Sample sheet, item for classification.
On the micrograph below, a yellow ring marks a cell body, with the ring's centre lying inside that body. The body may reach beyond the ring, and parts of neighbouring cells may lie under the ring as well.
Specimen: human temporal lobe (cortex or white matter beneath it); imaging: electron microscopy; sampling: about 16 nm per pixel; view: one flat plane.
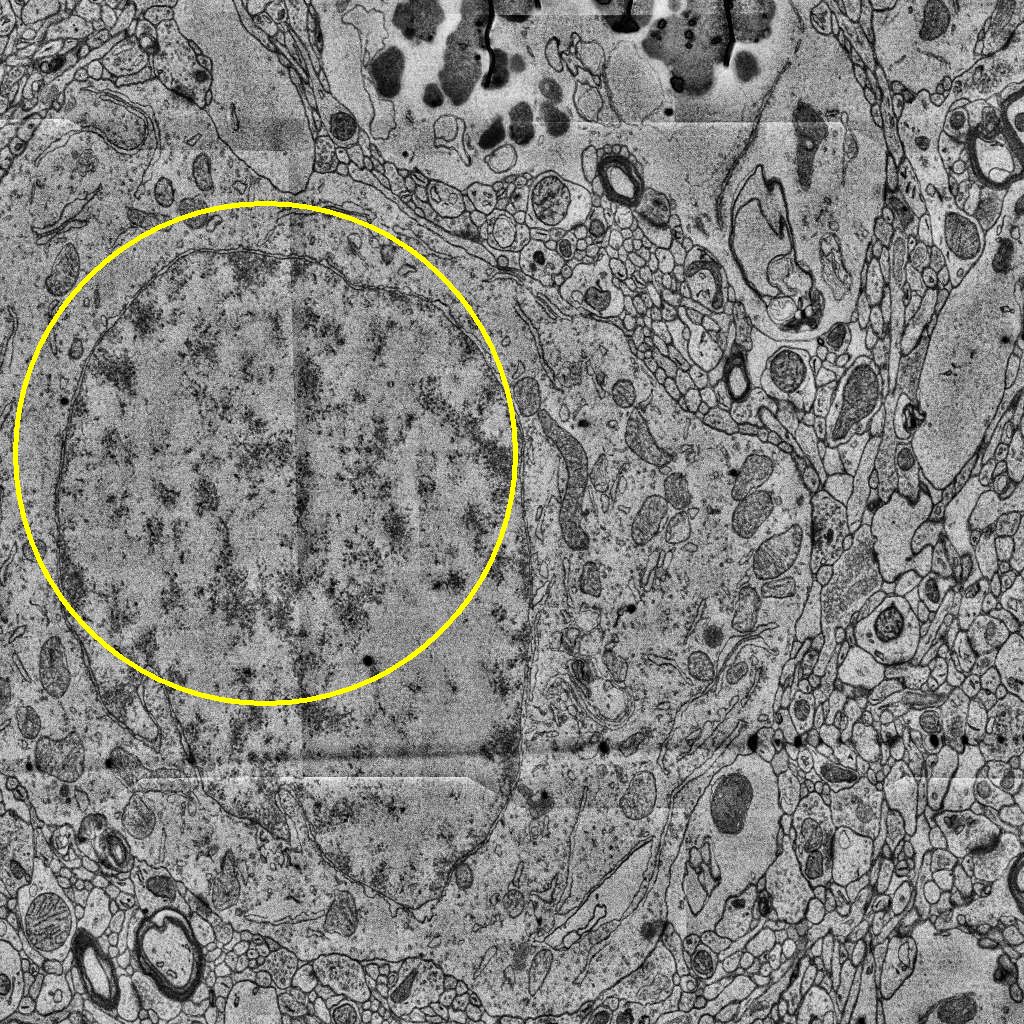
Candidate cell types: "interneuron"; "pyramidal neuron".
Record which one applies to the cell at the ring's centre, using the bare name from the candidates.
interneuron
